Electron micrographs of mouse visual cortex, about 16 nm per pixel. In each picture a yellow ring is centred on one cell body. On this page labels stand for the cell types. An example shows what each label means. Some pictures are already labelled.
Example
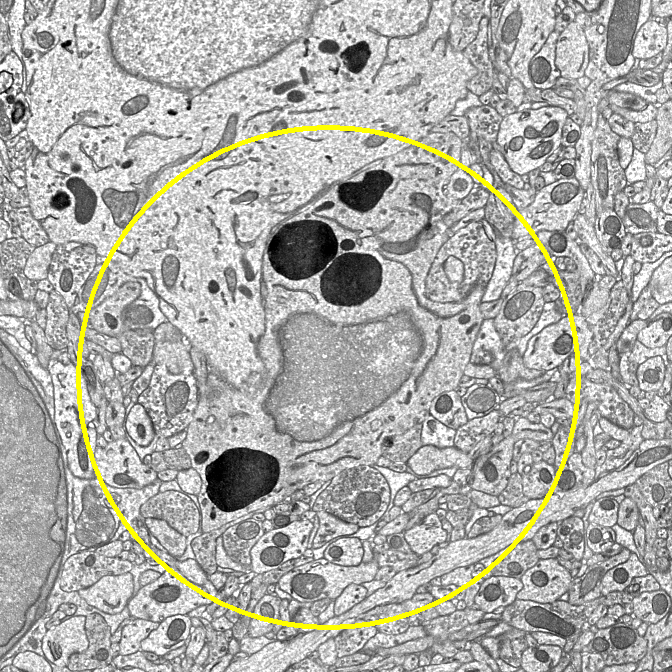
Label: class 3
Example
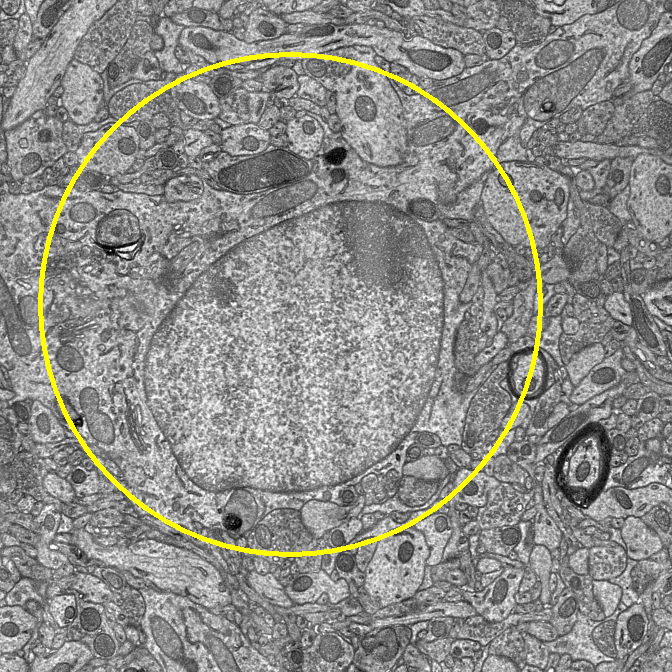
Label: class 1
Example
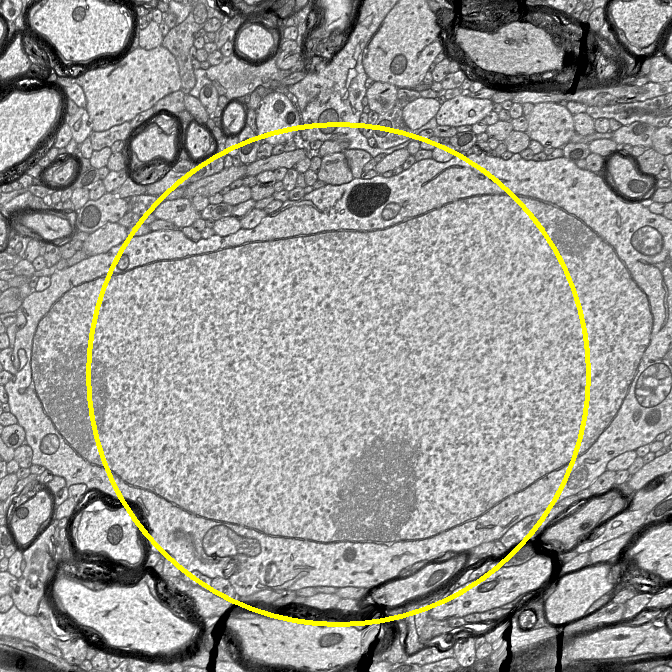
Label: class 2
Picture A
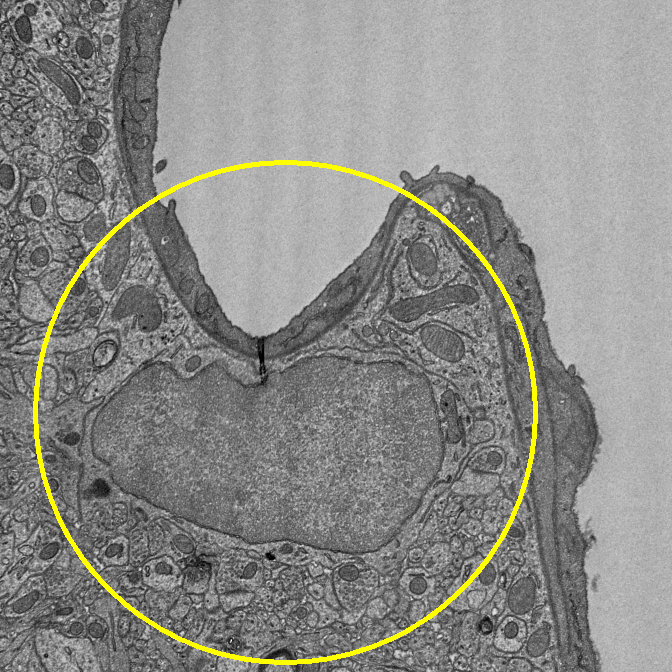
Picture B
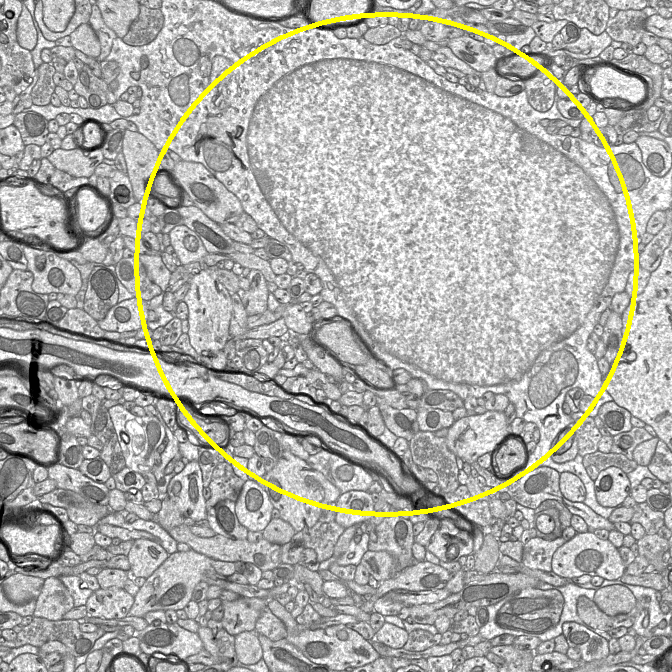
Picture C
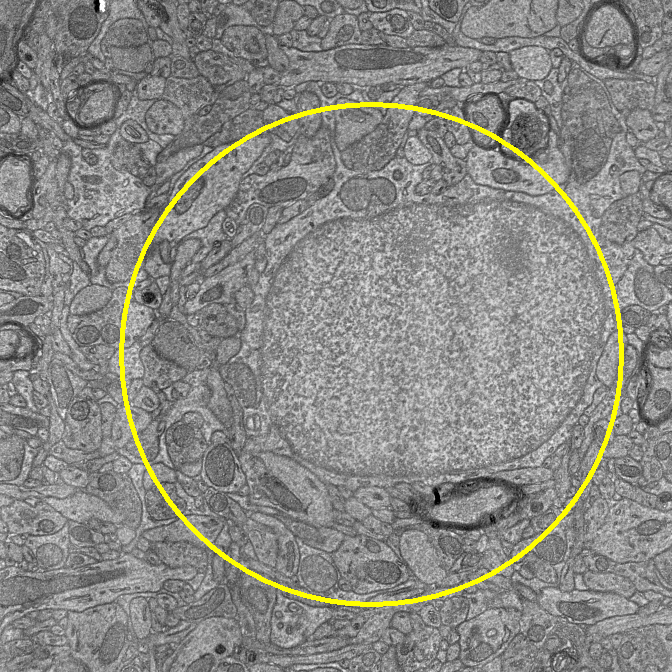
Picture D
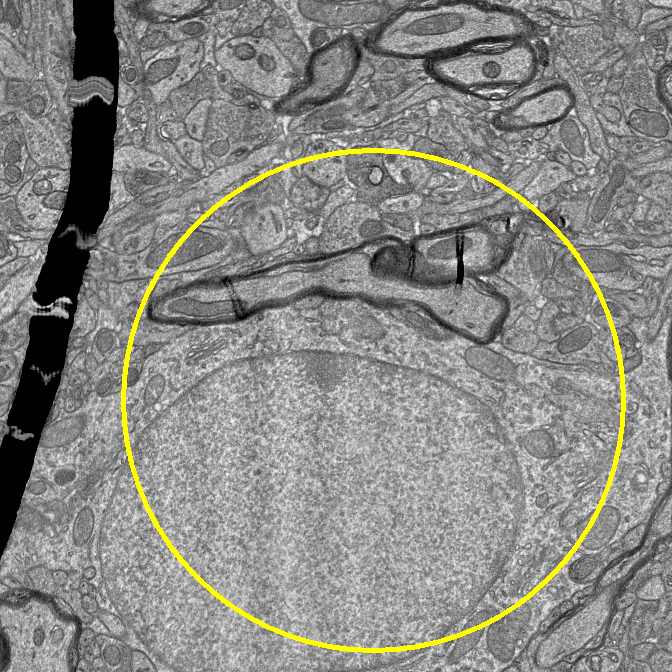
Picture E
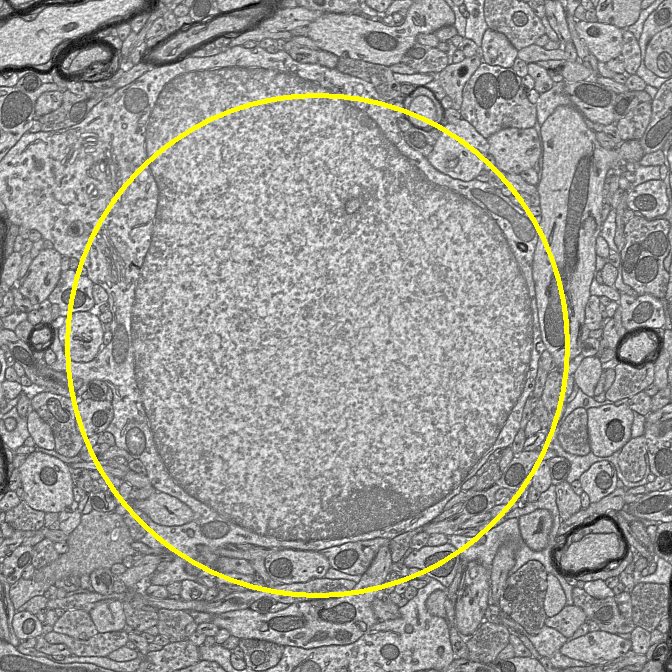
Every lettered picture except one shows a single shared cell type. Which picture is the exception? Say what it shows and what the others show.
Different: A, class 3. Others: class 1.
